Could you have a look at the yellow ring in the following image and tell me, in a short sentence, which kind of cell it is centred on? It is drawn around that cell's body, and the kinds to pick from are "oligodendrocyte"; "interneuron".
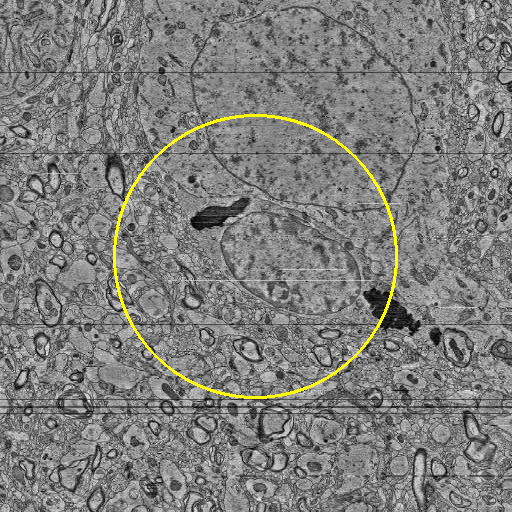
The ring is centred on the body of an oligodendrocyte.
